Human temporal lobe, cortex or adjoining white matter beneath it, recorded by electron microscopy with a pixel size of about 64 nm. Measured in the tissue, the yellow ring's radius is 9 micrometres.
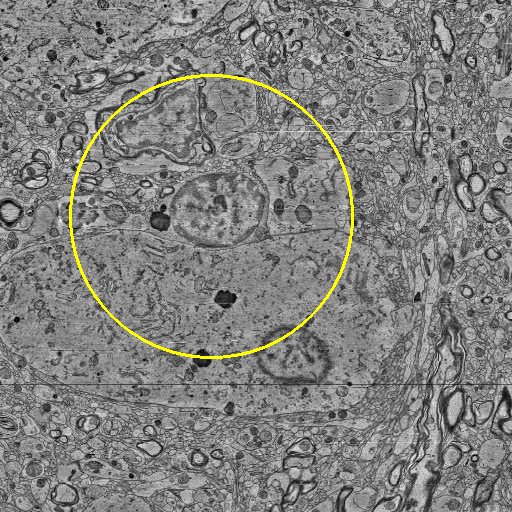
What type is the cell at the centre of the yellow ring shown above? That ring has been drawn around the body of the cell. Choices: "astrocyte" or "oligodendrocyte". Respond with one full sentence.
My answer is that an oligodendrocyte lies at the centre of the yellow ring above.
